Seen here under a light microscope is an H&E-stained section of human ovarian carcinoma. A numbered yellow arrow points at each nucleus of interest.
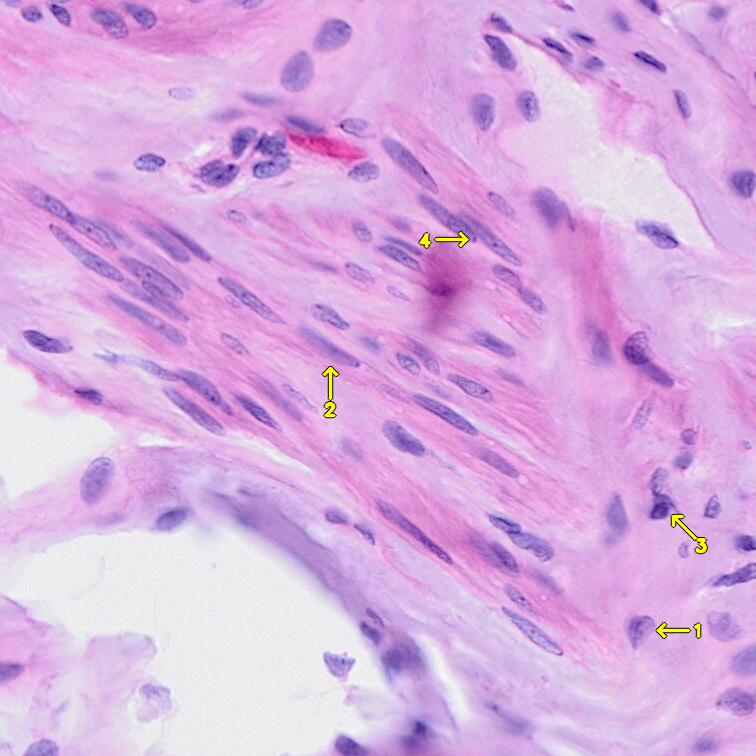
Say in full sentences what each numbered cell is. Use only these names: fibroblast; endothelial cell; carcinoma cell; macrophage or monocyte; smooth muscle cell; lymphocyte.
Cells 1 and 3 are fibroblasts. Cells 2 and 4 are smooth muscle cells.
